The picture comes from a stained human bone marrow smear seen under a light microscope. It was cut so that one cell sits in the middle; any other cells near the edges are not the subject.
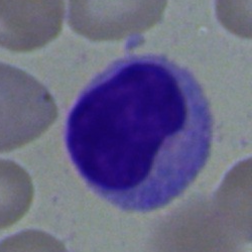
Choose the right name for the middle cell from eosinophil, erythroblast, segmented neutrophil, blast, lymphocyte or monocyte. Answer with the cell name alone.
monocyte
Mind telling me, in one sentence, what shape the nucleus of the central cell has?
One compact mass makes up the whole nucleus, round, oval or kidney-shaped.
